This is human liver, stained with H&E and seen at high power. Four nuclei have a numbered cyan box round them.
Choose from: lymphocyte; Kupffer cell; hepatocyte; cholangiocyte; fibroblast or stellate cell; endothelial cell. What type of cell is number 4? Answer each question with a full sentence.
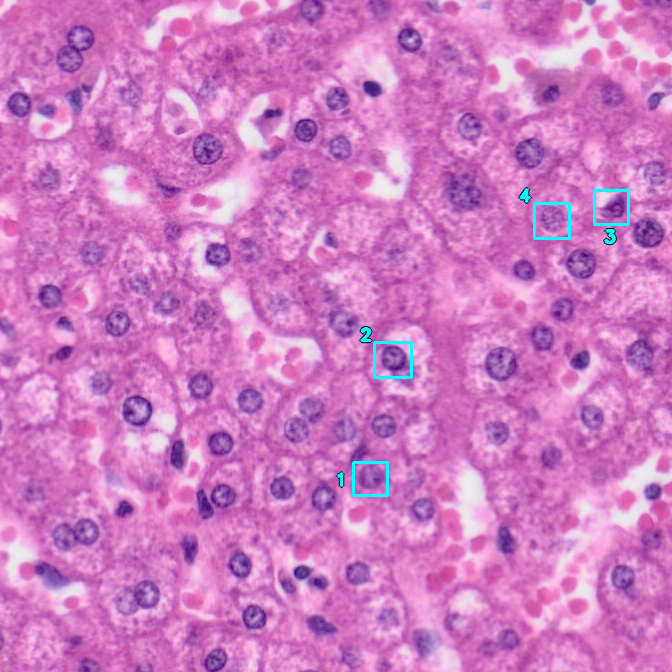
Marked with the number 4, this cell is a hepatocyte.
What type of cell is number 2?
Looking at the numbered marks, cell 2 is a hepatocyte.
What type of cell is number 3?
Classified as an endothelial cell is the cell with the number 3.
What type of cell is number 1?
The cell whose nucleus carries the number 1 is a hepatocyte.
